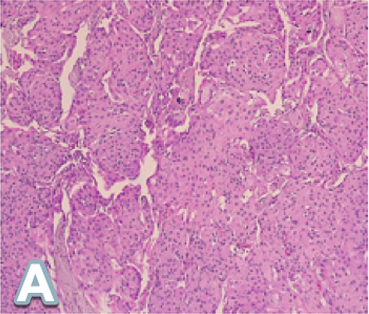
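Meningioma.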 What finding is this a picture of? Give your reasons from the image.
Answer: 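Tumour cells form lobules separated by thin clefts and septa. Cells have pale pink cytoplasm with indistinct borders. Nuclei are round to oval and fairly uniform. On this evidence: Meningothelial.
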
